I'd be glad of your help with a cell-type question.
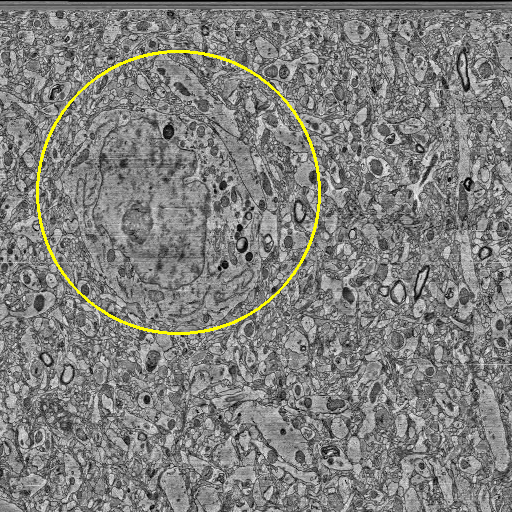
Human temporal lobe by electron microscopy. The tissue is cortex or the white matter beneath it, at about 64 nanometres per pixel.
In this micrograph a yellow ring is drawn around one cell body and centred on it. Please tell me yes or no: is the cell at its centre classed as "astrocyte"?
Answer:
no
